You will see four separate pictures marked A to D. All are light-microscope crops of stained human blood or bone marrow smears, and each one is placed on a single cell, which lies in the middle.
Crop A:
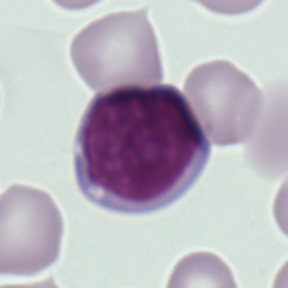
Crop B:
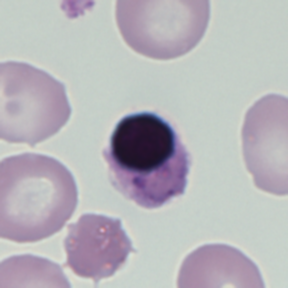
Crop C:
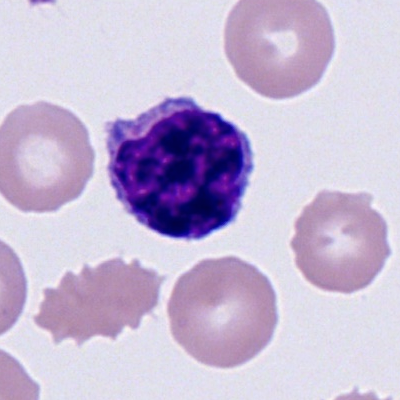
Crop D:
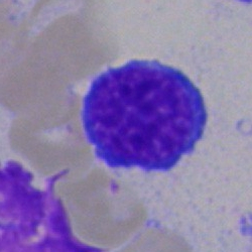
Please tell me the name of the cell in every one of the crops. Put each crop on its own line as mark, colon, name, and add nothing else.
A: lymphocyte
B: normoblast
C: lymphocyte
D: lymphocyte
